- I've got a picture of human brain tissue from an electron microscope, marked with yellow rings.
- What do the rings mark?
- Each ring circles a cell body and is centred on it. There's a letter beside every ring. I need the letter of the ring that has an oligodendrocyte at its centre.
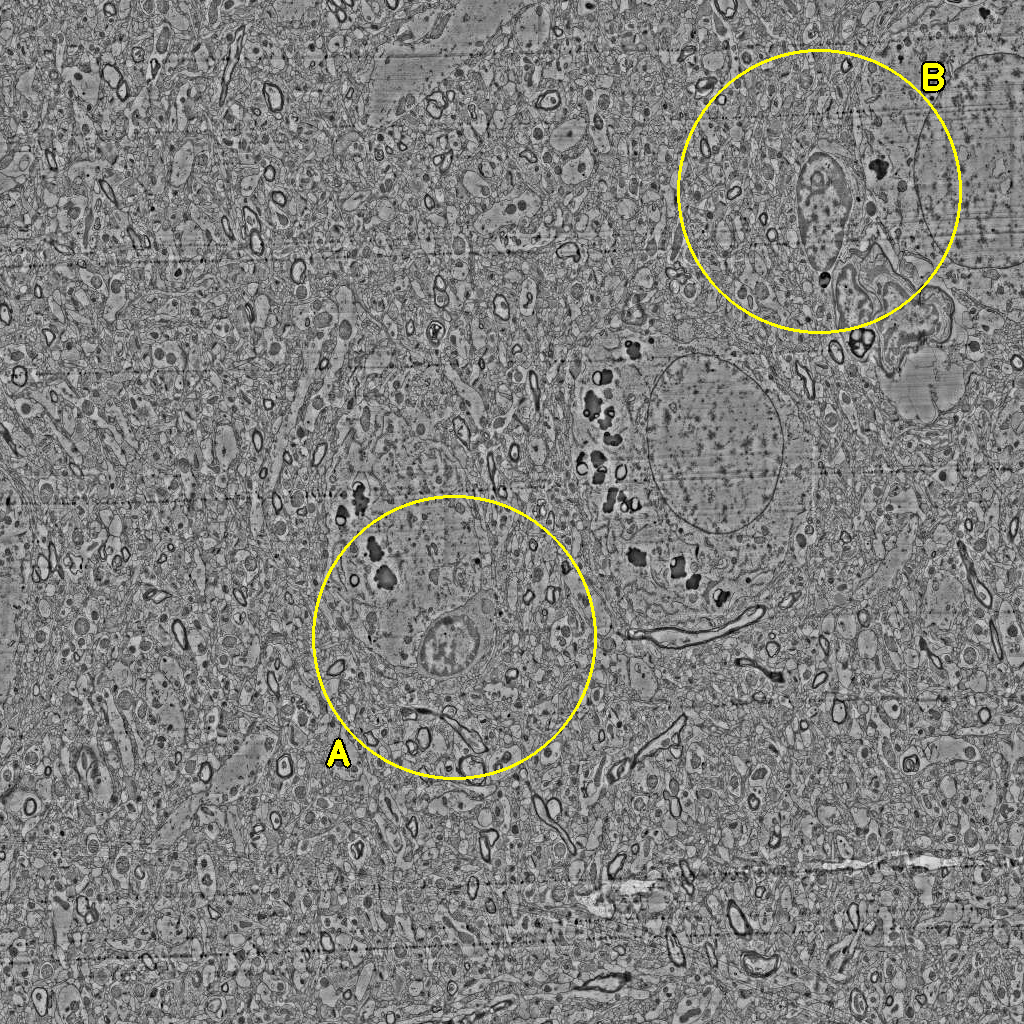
A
